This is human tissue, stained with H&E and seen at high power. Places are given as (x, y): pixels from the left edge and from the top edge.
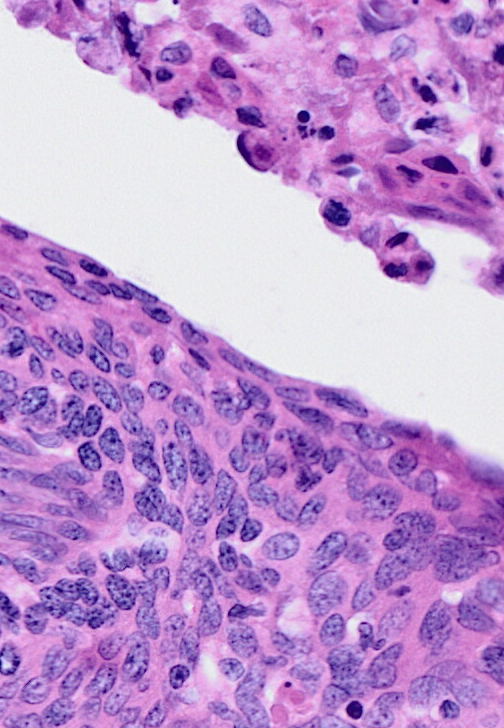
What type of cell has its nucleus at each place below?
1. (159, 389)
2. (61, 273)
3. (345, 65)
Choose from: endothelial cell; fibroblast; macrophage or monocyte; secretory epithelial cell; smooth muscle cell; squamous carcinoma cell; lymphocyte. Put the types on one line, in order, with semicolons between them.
squamous carcinoma cell; squamous carcinoma cell; macrophage or monocyte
